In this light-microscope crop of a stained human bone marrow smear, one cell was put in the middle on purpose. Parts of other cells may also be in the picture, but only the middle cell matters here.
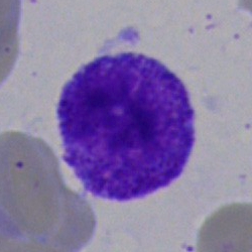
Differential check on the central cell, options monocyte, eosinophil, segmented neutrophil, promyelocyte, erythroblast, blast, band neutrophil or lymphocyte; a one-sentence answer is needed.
What the crop centres on is a promyelocyte.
